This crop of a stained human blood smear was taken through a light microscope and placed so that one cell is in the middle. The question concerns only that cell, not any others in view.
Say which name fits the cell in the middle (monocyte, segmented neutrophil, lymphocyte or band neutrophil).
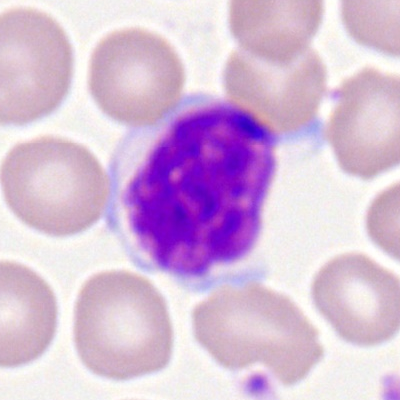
lymphocyte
